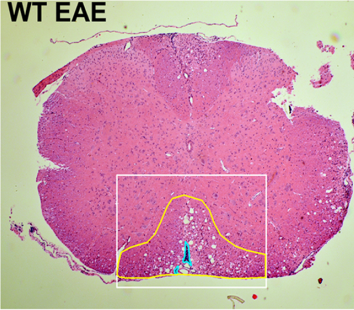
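Transverse section of spinal cord stained pink with scattered purple nuclei, the central grey matter faintly set off from the surrounding white matter. The white matter contains numerous small clear round vacuoles. Near the ventral midline fissure lies only a small focus of clustered nuclei.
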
